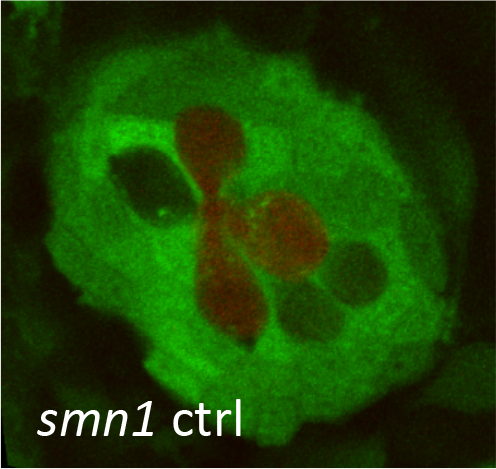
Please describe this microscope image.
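A lateral line neuromast seen from above as a rounded cluster of cells. Green fluorescence fills the cytoplasm of cells at the periphery, while the center holds several dark, unfilled rounded cells and a few red-filled cells grouped together.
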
